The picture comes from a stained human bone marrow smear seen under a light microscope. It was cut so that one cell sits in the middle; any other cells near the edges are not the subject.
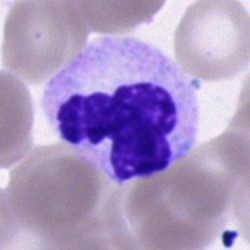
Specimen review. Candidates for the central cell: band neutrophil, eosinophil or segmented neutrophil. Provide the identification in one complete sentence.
In the middle of this smear crop, the cell is a segmented neutrophil.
